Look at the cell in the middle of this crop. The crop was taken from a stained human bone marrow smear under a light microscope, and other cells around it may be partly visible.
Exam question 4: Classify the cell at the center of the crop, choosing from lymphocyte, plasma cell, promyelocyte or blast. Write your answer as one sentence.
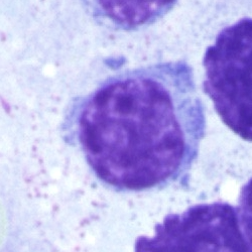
The center cell of this crop is a lymphocyte.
